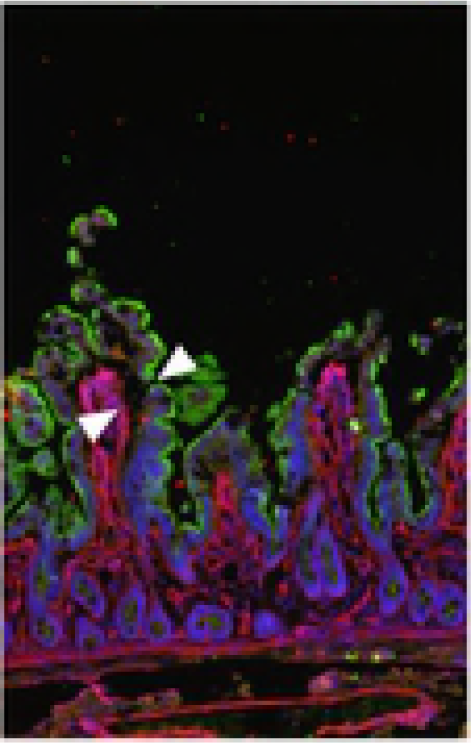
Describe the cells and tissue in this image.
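Small intestinal mucosa with villi projecting toward the lumen above crypts cut in cross section. A thin green line marks the luminal surface of the epithelium on the lower parts of the villi, and red lines trace the base of the epithelium and the villus cores. At the villus tips the epithelium is ragged, with detached clumps of green-edged cells lying free above the mucosa. Crypts near the base are outlined in red and filled with blue nuclei, and a broad red band runs along the bottom of the mucosa.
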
